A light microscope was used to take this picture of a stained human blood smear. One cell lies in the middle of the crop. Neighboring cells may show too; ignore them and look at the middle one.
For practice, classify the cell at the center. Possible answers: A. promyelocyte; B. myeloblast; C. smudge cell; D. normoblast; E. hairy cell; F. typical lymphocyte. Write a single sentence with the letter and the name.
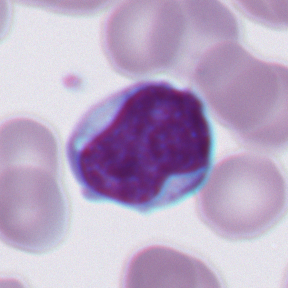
Option F is the keyed answer: the cell in the middle is a typical lymphocyte.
